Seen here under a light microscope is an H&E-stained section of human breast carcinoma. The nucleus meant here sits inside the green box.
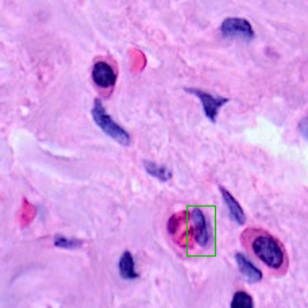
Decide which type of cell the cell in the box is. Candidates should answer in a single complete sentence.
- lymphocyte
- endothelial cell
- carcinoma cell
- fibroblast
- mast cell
In this section of tissue, the cell in the box is an endothelial cell.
